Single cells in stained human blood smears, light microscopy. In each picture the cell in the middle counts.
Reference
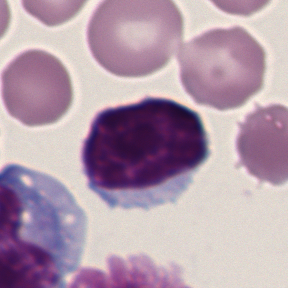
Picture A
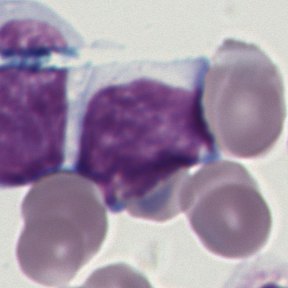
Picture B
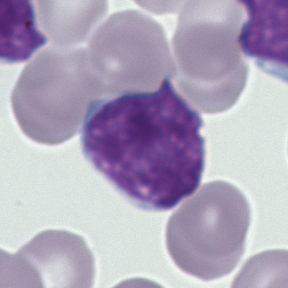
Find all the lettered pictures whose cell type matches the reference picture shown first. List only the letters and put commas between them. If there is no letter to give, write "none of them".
B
